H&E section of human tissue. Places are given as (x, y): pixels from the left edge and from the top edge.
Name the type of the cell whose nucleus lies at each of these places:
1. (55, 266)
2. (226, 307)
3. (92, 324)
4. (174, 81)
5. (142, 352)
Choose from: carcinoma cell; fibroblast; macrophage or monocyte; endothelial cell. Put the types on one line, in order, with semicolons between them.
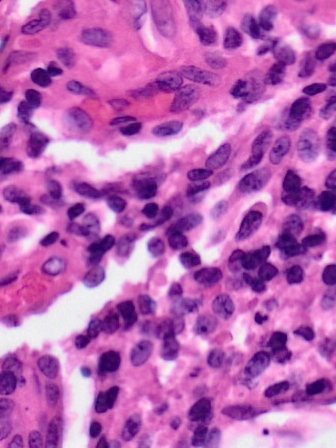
endothelial cell; macrophage or monocyte; carcinoma cell; endothelial cell; macrophage or monocyte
